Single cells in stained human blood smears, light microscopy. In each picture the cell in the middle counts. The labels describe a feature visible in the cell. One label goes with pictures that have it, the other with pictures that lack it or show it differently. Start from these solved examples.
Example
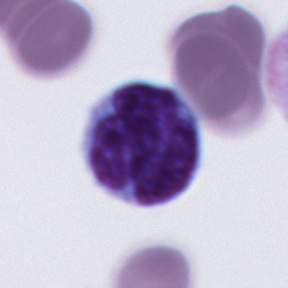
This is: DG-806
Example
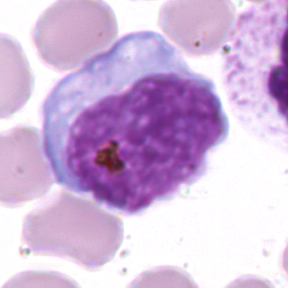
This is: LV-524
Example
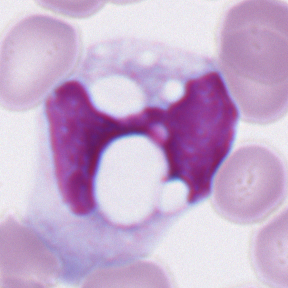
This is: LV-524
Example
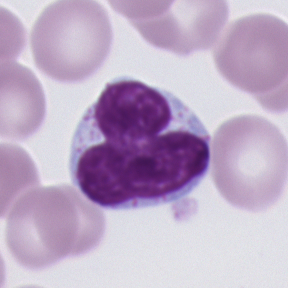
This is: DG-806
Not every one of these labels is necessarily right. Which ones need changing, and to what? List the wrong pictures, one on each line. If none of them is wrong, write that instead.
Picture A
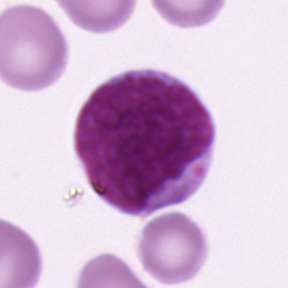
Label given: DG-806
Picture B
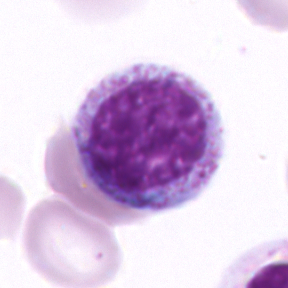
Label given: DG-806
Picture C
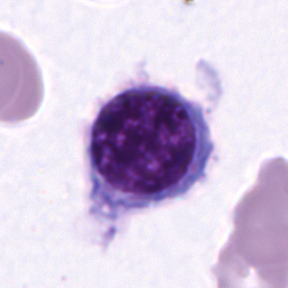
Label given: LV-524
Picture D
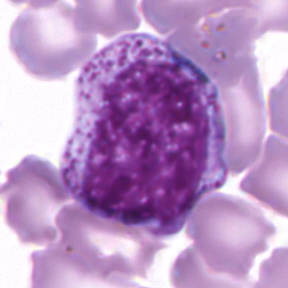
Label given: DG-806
C: change LV-524 to DG-806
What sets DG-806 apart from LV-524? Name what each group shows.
DG-806, scant cytoplasm; LV-524, abundant cytoplasm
